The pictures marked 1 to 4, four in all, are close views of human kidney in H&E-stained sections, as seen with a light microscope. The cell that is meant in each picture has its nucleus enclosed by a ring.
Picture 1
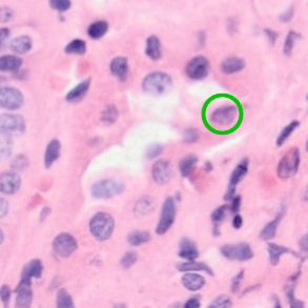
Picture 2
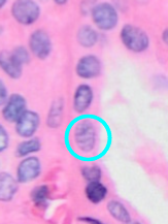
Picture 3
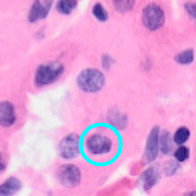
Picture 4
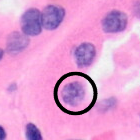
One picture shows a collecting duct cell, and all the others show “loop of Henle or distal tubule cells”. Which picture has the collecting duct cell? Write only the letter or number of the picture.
2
